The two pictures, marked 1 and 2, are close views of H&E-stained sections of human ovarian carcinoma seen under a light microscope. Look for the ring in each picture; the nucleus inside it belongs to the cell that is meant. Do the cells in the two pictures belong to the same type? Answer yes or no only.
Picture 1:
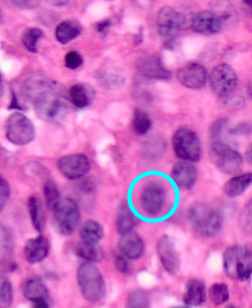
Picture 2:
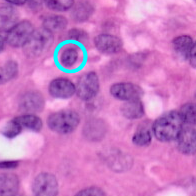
no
